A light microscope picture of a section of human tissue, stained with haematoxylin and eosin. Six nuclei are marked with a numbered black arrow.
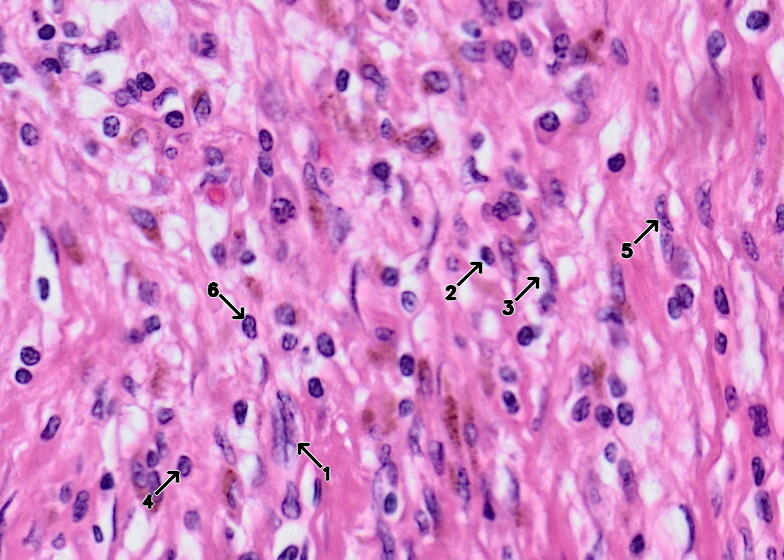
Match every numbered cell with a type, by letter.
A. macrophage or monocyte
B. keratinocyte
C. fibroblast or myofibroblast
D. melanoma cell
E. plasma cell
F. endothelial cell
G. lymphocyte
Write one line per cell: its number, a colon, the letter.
1: F
2: G
3: C
4: G
5: A
6: G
